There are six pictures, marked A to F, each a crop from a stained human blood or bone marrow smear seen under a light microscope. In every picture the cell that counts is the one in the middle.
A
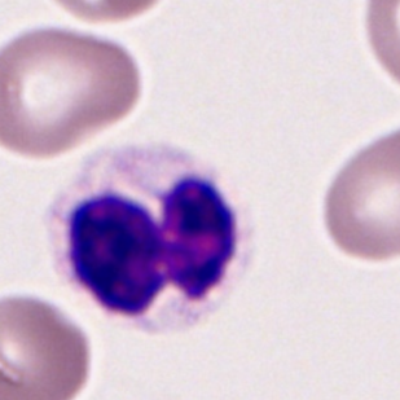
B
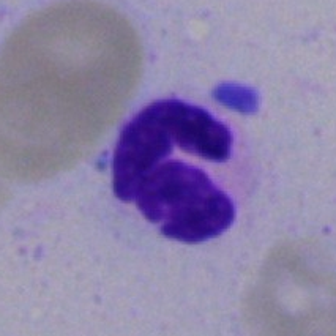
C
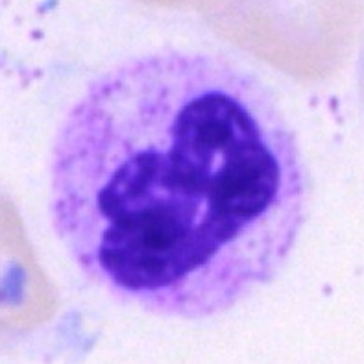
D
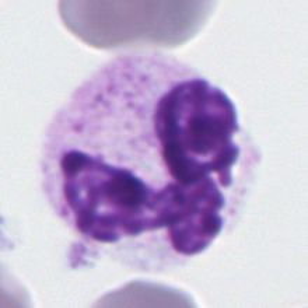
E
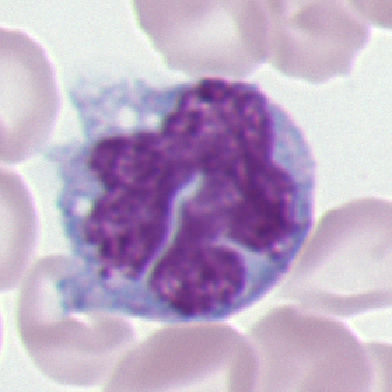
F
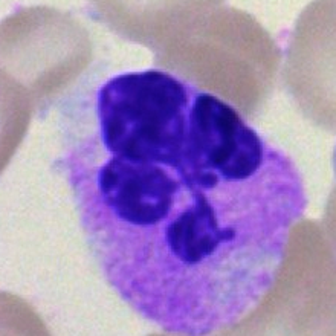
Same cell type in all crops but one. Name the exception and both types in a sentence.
Just crop E is a monocyte; all the other crops show segmented neutrophils.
